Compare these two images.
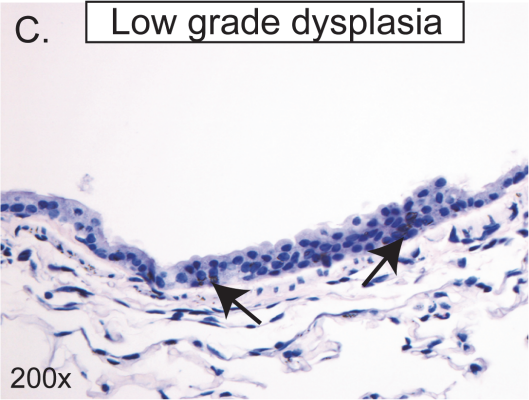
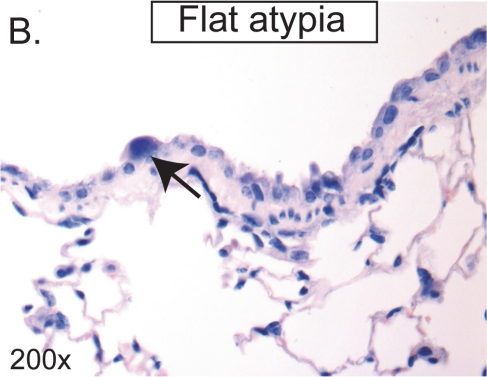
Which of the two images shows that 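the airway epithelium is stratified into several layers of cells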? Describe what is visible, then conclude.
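The first image. First image: the lining has several rows of stacked nuclei. Second image: the lining is a single row of cells.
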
